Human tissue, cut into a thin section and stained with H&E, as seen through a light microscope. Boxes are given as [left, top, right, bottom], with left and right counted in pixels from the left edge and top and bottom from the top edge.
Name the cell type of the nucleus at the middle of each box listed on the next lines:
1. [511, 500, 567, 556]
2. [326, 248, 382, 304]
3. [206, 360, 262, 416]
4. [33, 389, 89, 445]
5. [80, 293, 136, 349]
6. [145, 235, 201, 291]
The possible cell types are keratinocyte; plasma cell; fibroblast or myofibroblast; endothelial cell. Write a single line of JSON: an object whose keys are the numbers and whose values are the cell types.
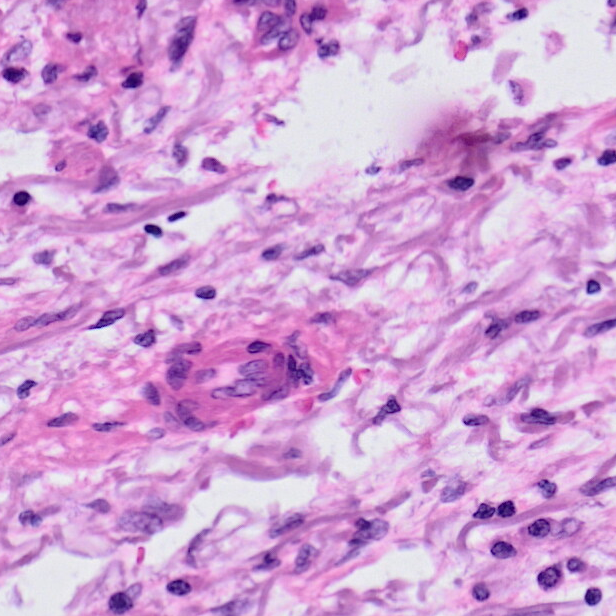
{"1": "plasma cell", "2": "fibroblast or myofibroblast", "3": "endothelial cell", "4": "fibroblast or myofibroblast", "5": "fibroblast or myofibroblast", "6": "fibroblast or myofibroblast"}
